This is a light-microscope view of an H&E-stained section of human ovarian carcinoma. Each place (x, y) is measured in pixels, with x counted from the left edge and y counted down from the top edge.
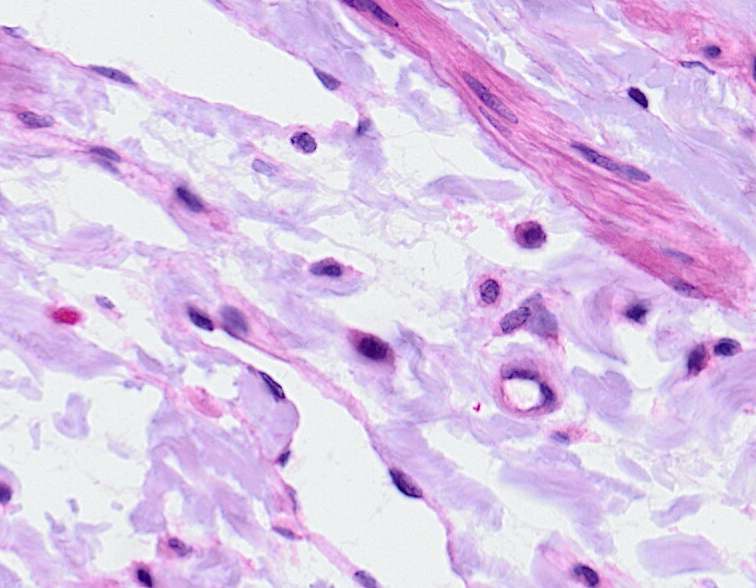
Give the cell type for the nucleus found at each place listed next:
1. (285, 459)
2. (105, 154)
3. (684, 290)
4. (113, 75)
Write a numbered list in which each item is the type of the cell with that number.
1. endothelial cell
2. endothelial cell
3. smooth muscle cell
4. endothelial cell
